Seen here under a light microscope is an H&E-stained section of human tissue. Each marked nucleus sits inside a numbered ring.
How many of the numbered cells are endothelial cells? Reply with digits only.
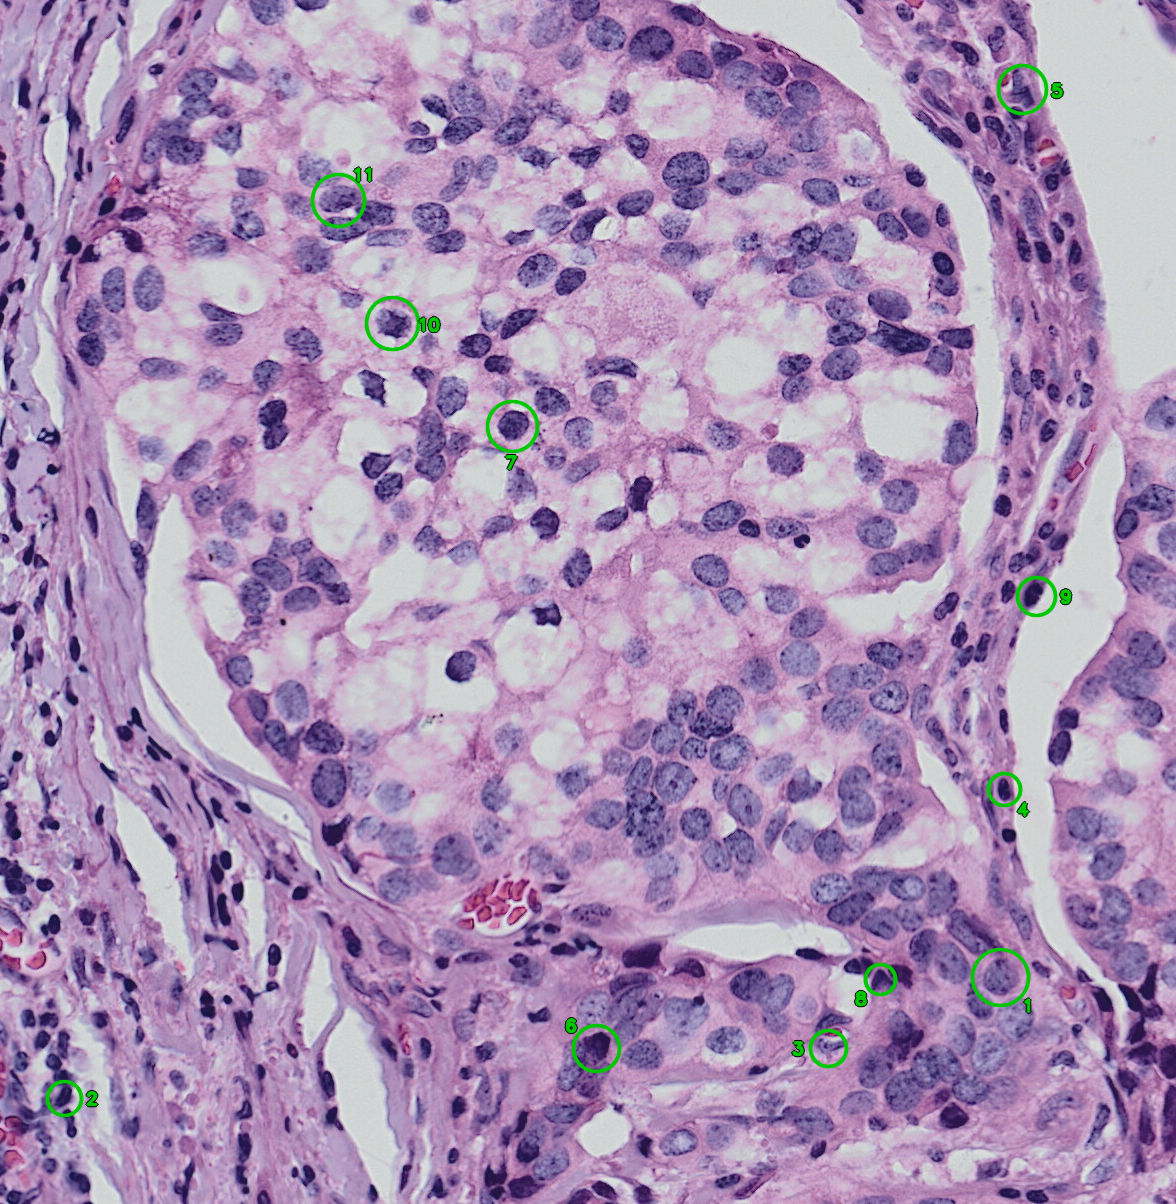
2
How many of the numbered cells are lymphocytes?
3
